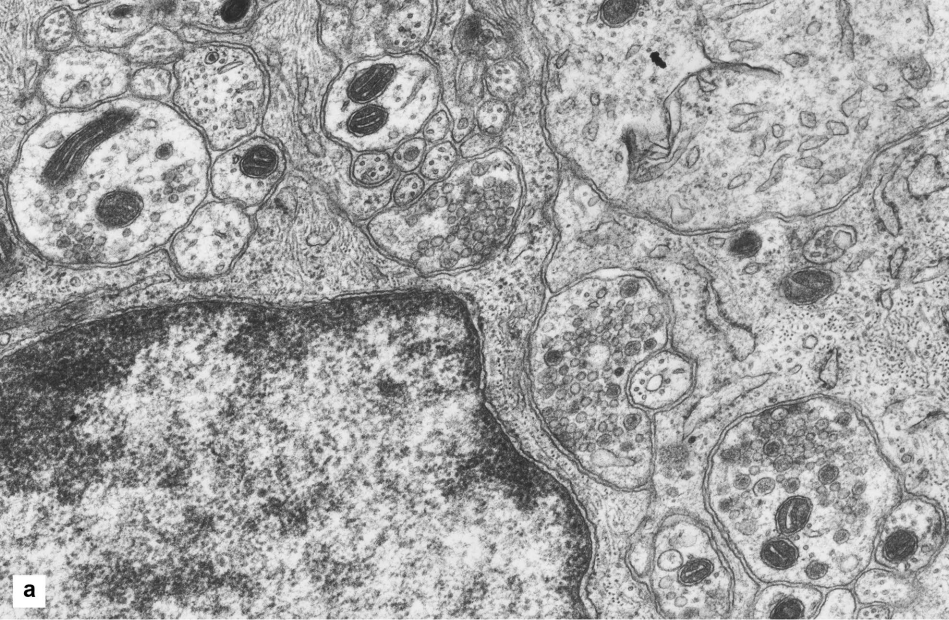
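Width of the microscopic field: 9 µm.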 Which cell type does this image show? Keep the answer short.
A glial cell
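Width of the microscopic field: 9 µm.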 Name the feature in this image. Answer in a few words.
Nerve endings or varicosities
